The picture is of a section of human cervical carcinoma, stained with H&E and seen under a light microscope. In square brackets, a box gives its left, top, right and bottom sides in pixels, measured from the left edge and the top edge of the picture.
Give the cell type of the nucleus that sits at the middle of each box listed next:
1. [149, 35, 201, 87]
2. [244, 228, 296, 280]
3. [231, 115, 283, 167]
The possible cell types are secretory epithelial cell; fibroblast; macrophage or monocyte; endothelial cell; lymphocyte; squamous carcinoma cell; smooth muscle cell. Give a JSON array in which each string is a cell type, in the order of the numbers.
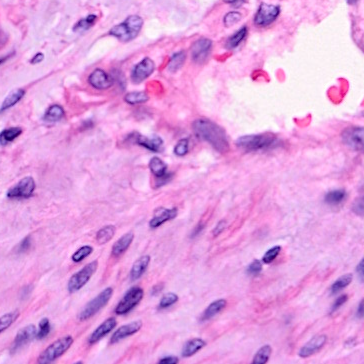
["endothelial cell", "lymphocyte", "endothelial cell"]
